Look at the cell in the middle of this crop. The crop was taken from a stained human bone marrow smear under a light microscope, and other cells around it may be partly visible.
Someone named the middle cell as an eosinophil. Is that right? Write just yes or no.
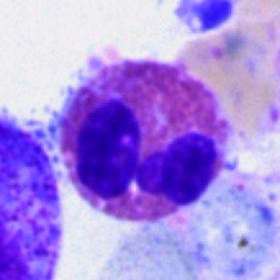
yes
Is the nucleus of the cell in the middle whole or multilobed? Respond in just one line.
The nucleus here is split into two or more lobes, not one.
